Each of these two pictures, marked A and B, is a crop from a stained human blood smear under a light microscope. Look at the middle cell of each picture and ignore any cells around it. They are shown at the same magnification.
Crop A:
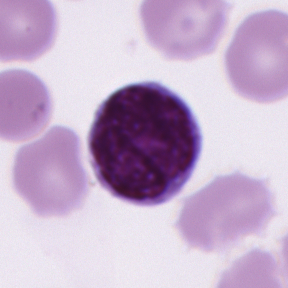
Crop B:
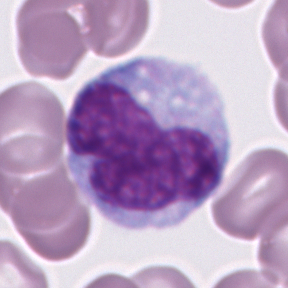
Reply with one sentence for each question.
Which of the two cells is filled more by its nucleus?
The nucleus fills more of the cell in crop A than in crop B.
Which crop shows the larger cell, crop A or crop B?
It is the cell in crop B, about 2 times as large in area as the cell in crop A.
